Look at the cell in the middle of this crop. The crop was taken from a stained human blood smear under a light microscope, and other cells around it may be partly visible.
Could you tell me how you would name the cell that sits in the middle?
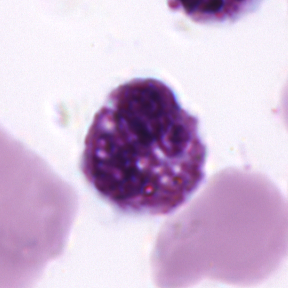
eosinophil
